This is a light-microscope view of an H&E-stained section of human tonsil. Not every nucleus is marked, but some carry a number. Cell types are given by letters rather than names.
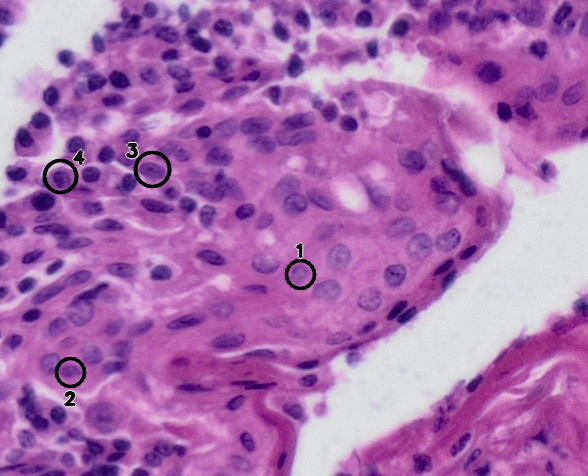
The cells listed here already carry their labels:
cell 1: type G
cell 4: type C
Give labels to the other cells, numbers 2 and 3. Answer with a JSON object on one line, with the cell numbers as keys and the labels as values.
{"2": "type G", "3": "type G"}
